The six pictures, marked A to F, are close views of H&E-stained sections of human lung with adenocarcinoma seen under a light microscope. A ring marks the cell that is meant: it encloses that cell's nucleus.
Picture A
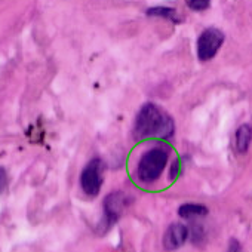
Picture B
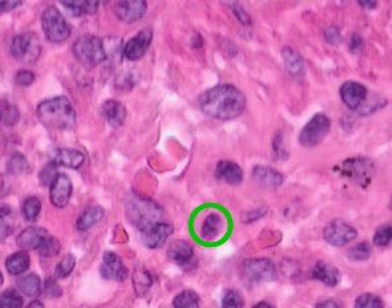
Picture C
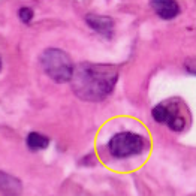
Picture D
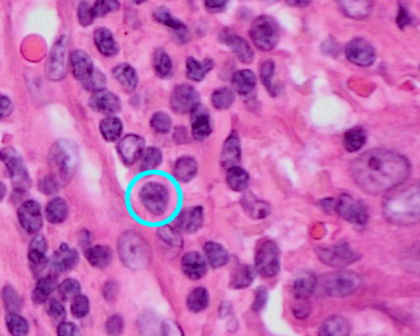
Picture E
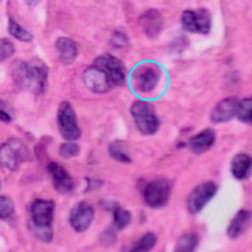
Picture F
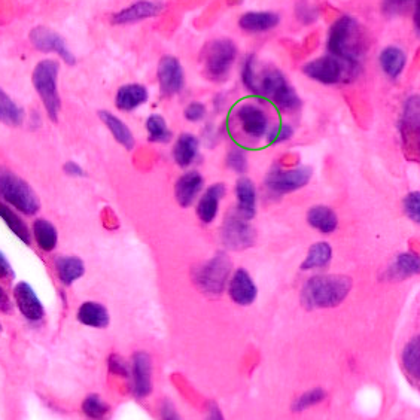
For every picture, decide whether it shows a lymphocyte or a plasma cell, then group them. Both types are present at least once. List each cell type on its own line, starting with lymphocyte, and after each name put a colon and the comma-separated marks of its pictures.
lymphocyte: B, D, E
plasma cell: A, C, F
